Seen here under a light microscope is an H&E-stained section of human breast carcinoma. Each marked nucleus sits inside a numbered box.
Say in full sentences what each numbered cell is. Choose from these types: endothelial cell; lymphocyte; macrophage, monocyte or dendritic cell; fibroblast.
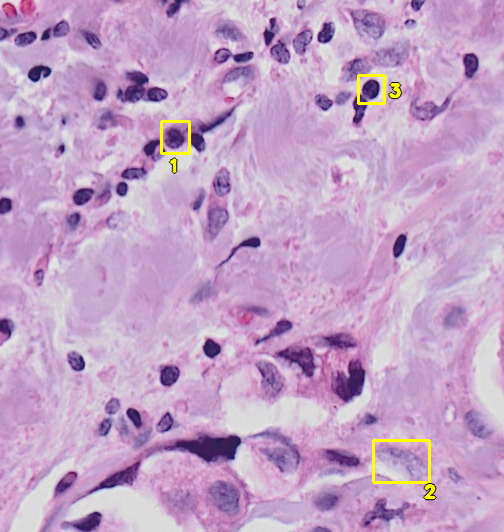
Cell 1 is a lymphocyte, cell 2 is a fibroblast and cell 3 is a lymphocyte.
